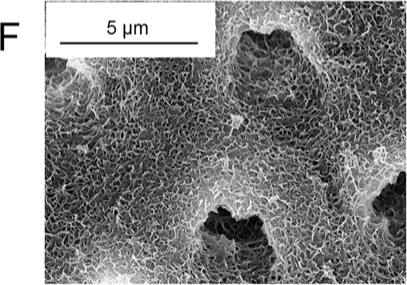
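This is the surface of dentin with the openings of dentinal tubules, seen by scanning electron microscopy. A dense layer of thin flake-like crystals covers the whole surface like a crumpled mesh. The same flakes run down and coat the walls of the tubule openings, yet the openings remain open as dark holes.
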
